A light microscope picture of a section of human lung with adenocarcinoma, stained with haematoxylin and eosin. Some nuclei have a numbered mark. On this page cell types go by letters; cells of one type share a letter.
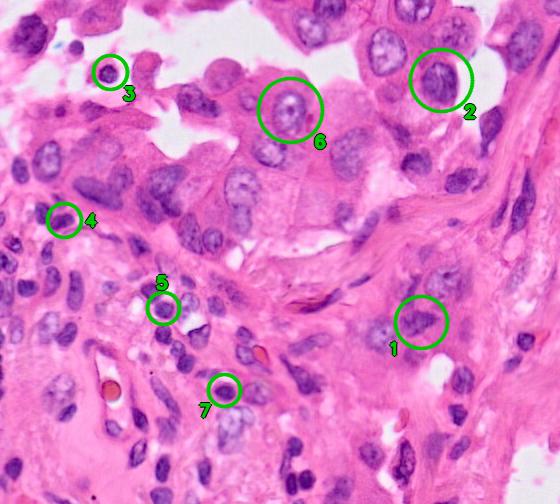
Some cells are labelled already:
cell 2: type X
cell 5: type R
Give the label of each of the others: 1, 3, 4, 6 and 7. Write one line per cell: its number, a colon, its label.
1: type X
3: type R
4: type R
6: type X
7: type R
